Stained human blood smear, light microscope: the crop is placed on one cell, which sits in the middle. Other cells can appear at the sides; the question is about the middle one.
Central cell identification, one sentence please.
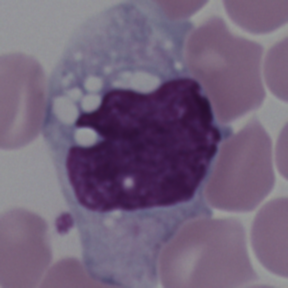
The cell at the middle of the crop is recognized as a monocyte.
